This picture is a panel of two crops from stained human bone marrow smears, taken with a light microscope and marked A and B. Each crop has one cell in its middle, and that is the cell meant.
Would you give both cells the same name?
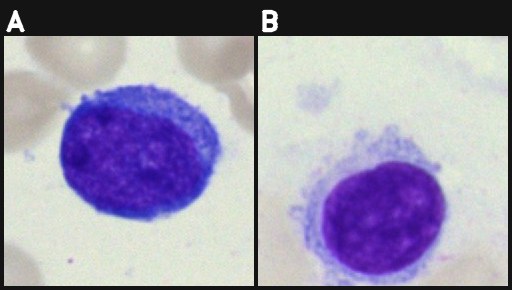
no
